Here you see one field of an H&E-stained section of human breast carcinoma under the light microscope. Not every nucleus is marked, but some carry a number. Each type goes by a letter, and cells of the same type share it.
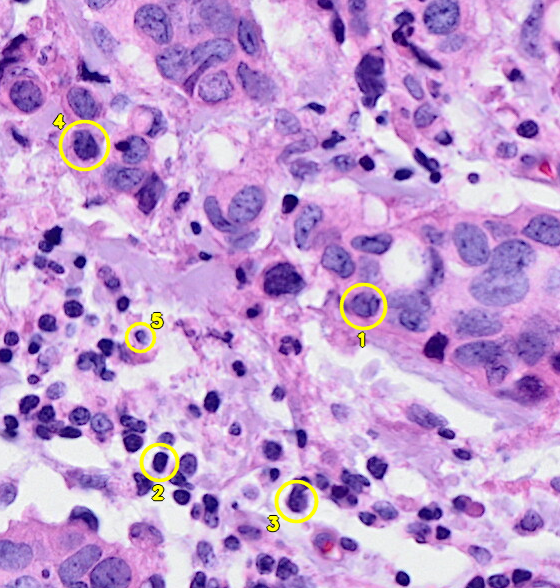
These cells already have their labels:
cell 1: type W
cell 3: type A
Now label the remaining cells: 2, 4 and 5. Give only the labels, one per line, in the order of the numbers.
type A
type W
type A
